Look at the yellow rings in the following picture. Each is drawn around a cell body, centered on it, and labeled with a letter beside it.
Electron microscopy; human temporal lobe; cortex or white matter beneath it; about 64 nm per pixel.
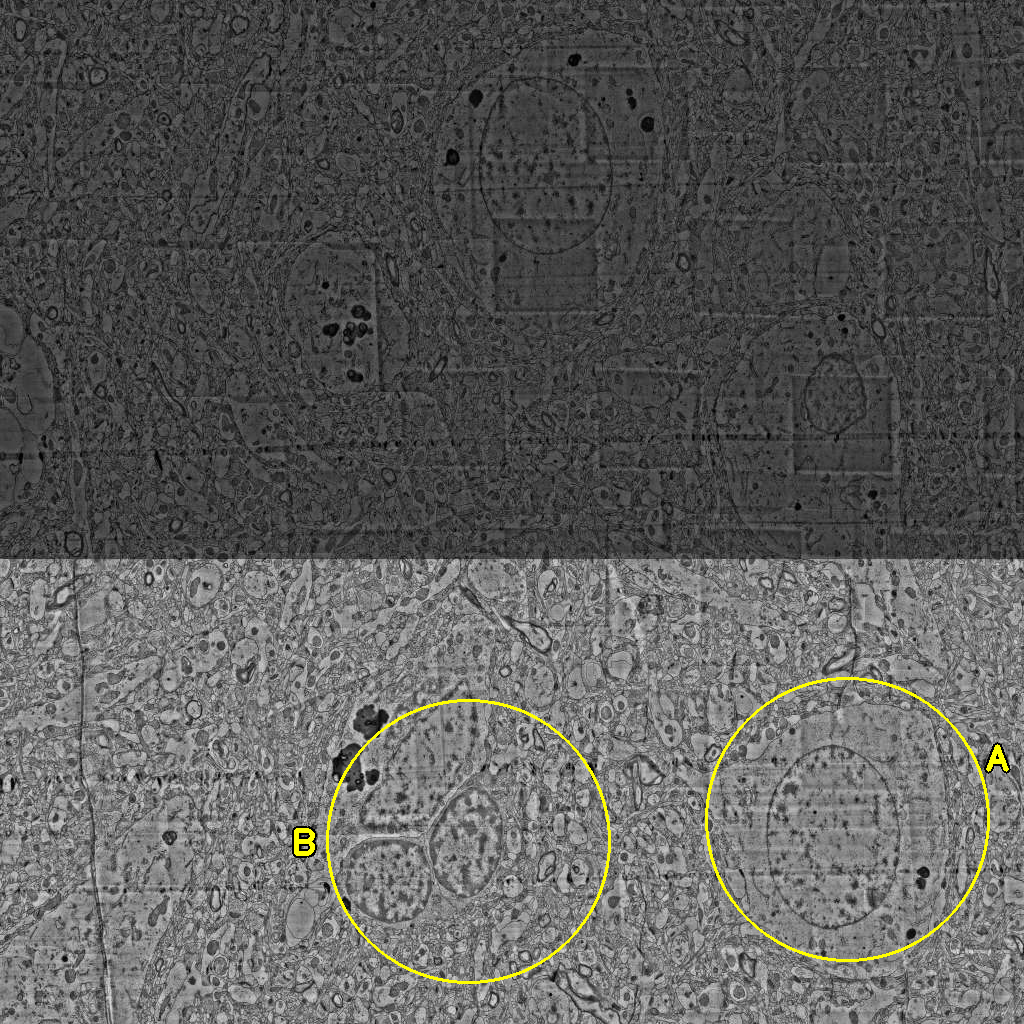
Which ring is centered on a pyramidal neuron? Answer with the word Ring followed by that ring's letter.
Ring A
